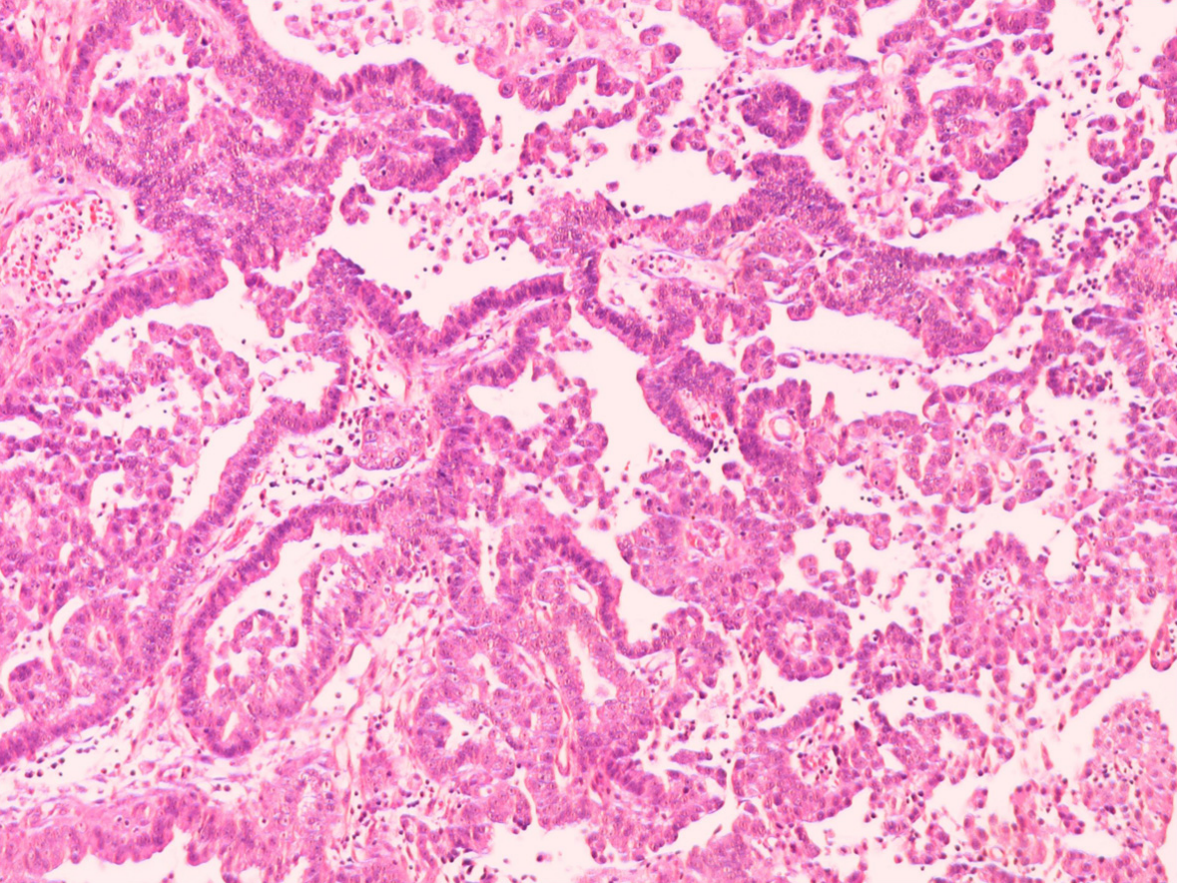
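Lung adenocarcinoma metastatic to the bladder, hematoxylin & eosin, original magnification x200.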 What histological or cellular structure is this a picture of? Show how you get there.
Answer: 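Finger-like projections with thin fibrovascular cores covered by tumour cells. Tufts and small clusters of cells float in open spaces between projections. That points to this answer: papillary pattern.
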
